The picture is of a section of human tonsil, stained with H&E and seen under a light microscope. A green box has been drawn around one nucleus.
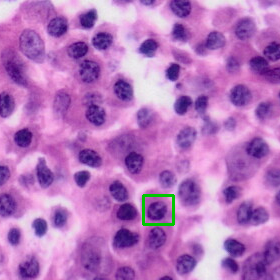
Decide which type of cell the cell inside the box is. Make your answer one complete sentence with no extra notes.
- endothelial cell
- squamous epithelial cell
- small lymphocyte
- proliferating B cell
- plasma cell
The expected answer is simply that the cell inside the box is a plasma cell.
